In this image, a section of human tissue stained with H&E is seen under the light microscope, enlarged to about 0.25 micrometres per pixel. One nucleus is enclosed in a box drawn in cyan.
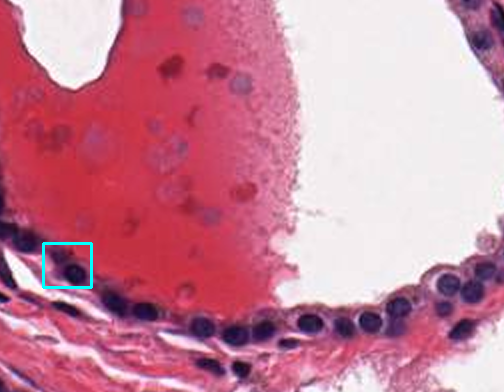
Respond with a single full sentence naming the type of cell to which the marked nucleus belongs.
The nucleus picked out by the mark is that of a thyroid follicular cell.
